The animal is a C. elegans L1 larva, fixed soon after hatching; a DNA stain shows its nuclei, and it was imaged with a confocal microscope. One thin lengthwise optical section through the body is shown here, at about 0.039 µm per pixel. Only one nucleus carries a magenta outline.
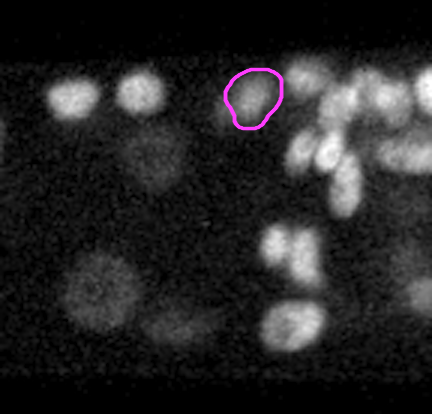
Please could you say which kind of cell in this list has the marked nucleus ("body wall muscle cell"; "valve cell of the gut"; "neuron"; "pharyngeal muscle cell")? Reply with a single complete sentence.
The cell with the marked nucleus is a neuron.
